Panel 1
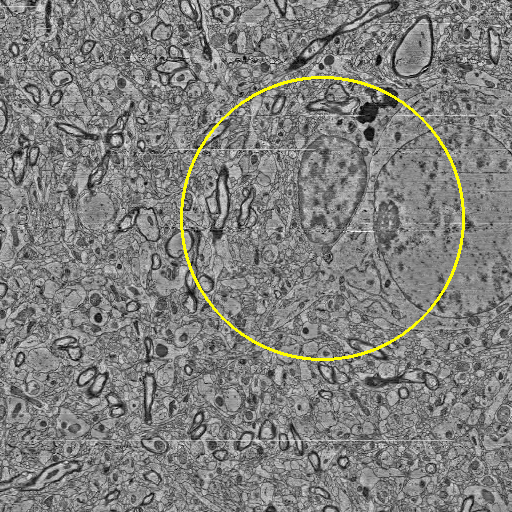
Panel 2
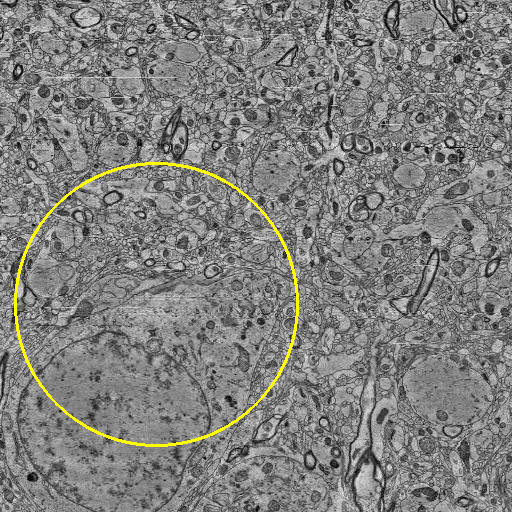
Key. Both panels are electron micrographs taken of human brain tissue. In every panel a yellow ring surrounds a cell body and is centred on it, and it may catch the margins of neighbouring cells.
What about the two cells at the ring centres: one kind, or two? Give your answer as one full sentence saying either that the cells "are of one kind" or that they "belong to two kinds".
Across Panels 1 and 2, the two cells at the ring centres are of one kind.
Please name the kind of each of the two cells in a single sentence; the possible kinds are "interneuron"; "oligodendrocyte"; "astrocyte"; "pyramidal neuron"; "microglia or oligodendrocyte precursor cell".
Each of the two pictures has an oligodendrocyte at the ring centre.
